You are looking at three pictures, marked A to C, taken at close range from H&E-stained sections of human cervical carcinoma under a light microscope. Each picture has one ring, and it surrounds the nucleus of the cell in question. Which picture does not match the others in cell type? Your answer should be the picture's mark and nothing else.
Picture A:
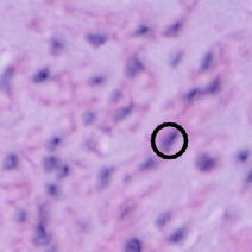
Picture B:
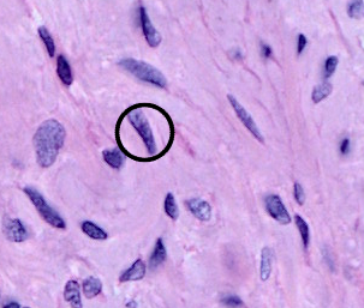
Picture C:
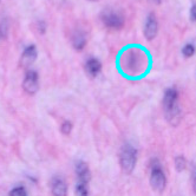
B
